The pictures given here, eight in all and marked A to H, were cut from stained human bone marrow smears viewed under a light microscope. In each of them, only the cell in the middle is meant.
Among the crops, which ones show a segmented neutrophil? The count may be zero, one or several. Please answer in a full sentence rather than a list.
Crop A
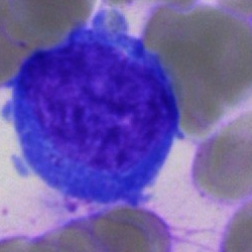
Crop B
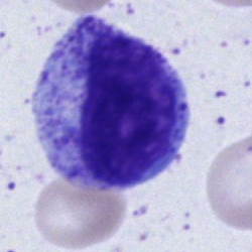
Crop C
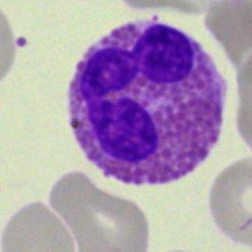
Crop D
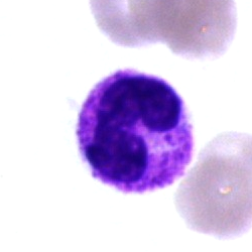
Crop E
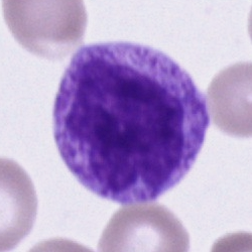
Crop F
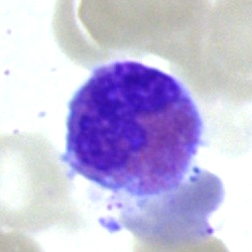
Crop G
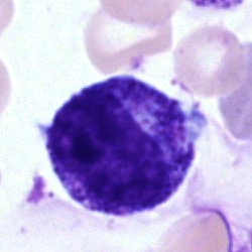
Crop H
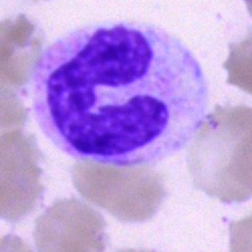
This set of crops does not include a segmented neutrophil at all.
